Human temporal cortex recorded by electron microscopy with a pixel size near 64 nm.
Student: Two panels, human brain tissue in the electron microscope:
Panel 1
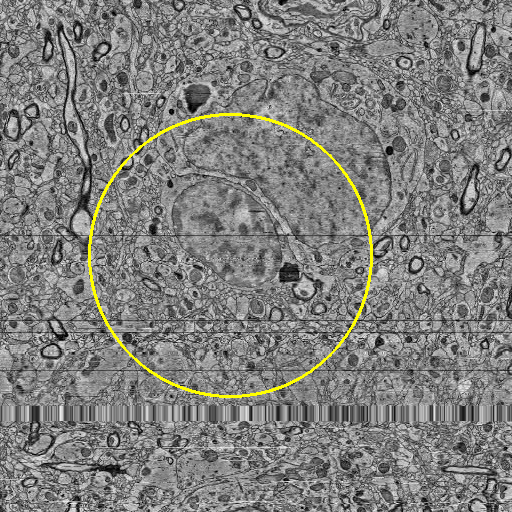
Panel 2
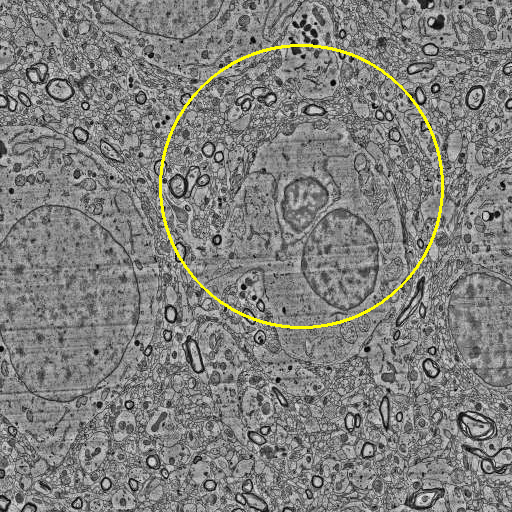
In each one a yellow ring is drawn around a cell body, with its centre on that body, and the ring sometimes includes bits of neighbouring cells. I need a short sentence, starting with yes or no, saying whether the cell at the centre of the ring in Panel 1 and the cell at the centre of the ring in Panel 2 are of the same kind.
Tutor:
No, they are two kinds of cell.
